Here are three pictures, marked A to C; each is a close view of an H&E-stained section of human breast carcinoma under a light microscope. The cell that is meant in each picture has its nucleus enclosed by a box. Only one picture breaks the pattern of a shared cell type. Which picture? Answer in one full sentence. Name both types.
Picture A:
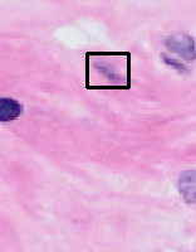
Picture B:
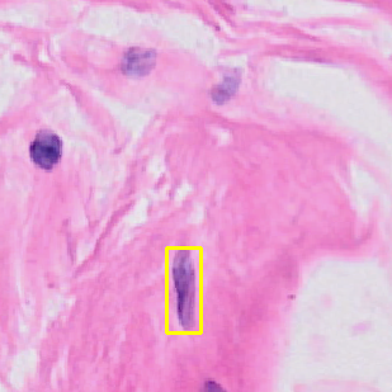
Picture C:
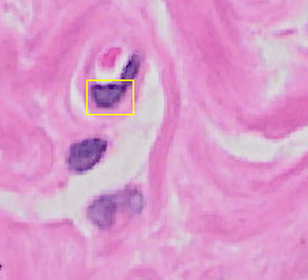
Picture C is the odd one out: it shows an endothelial cell, while the others show fibroblasts.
